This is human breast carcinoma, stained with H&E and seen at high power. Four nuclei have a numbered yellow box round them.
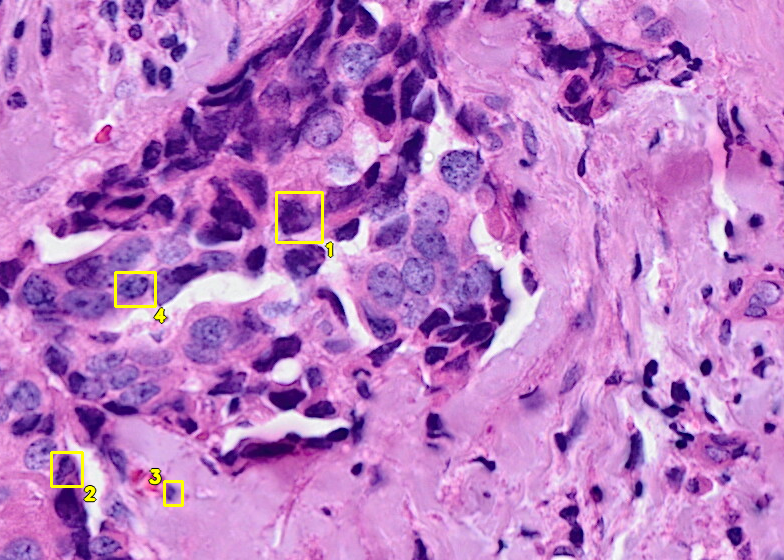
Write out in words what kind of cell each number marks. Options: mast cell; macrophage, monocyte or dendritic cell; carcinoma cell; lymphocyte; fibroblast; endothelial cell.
Cell 1 is a carcinoma cell, cell 2 is a carcinoma cell, cell 3 is an endothelial cell and cell 4 is a carcinoma cell.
